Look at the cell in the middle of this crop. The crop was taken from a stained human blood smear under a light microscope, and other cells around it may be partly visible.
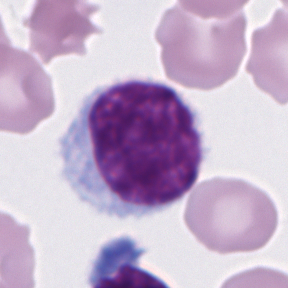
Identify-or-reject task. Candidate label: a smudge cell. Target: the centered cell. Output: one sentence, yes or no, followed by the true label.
No, the centre of the crop contains a hairy cell rather than a smudge cell.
